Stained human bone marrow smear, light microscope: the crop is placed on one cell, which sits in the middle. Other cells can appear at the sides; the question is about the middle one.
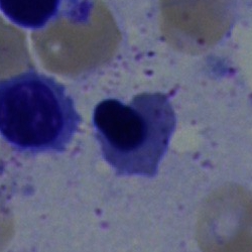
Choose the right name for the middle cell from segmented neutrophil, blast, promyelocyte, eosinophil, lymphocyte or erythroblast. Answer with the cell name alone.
erythroblast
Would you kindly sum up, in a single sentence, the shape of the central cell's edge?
The boundary of the cell runs irregularly, ragged in parts or drawn into projections.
